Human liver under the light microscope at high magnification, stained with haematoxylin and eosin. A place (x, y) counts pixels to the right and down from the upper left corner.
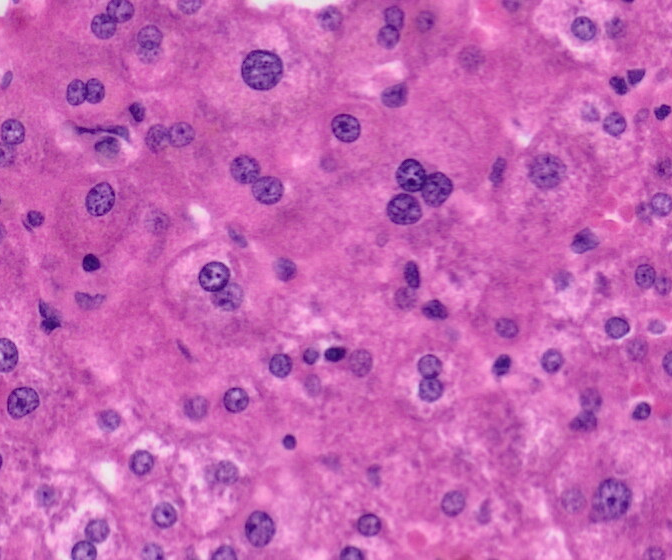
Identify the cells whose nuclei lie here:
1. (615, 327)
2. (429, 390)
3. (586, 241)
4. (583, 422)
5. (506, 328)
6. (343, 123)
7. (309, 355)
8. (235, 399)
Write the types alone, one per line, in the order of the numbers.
hepatocyte
hepatocyte
endothelial cell
endothelial cell
hepatocyte
hepatocyte
Kupffer cell
hepatocyte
